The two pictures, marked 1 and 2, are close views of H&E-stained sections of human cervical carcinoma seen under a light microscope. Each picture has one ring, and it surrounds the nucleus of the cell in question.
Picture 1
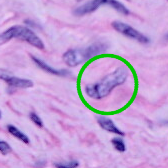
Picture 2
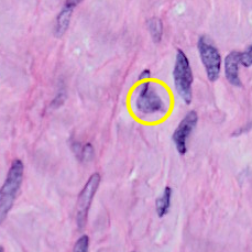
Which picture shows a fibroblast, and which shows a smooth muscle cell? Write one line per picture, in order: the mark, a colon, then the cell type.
1: smooth muscle cell
2: fibroblast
